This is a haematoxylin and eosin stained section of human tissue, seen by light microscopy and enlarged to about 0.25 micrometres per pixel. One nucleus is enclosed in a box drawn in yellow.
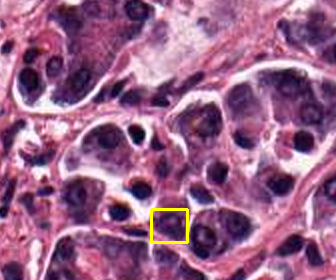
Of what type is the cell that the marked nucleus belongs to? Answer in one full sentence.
On this slide, the marked nucleus belongs to a pancreatic acinar cell.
